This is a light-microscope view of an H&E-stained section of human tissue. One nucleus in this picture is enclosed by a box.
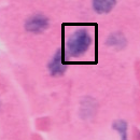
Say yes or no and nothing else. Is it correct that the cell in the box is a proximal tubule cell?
no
